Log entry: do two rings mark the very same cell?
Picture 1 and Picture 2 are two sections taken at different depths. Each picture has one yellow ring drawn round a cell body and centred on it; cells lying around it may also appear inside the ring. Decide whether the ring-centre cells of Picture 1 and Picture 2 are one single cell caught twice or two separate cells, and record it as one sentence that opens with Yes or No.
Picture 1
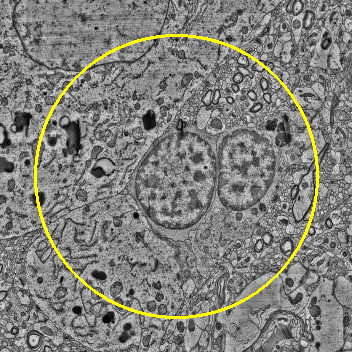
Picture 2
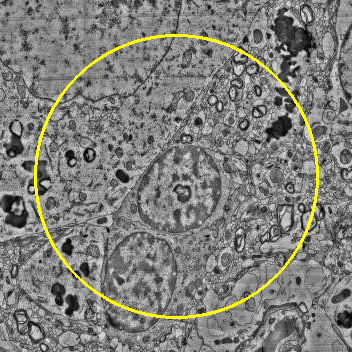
Yes, the two marked outlines come from one and the same cell.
